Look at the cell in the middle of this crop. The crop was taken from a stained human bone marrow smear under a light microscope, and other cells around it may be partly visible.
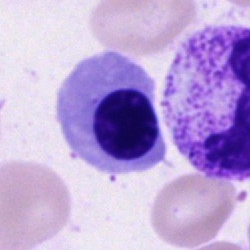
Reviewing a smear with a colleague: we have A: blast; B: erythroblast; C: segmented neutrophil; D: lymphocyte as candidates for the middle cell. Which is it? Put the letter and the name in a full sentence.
Option B is correct, and the cell in the centre is an erythroblast.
